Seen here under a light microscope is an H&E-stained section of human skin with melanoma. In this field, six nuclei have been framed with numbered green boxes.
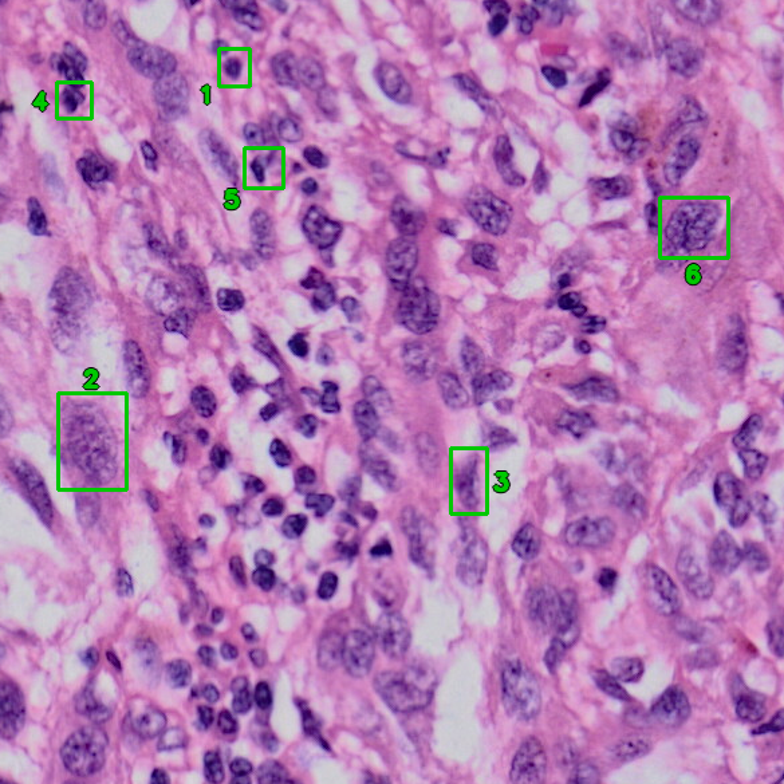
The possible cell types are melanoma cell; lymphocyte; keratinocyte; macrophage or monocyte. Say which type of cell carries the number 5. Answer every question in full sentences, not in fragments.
The cell that bears the number 5 is a lymphocyte.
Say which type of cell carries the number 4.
The cell that is numbered 4 is a lymphocyte.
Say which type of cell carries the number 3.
The correct label for cell 3 is a melanoma cell.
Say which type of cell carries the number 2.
The nucleus with number 2 is that of a melanoma cell.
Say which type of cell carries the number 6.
The expected answer is that cell 6 is a melanoma cell.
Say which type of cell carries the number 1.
The marked cell with the number 1 is recognised as a lymphocyte.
